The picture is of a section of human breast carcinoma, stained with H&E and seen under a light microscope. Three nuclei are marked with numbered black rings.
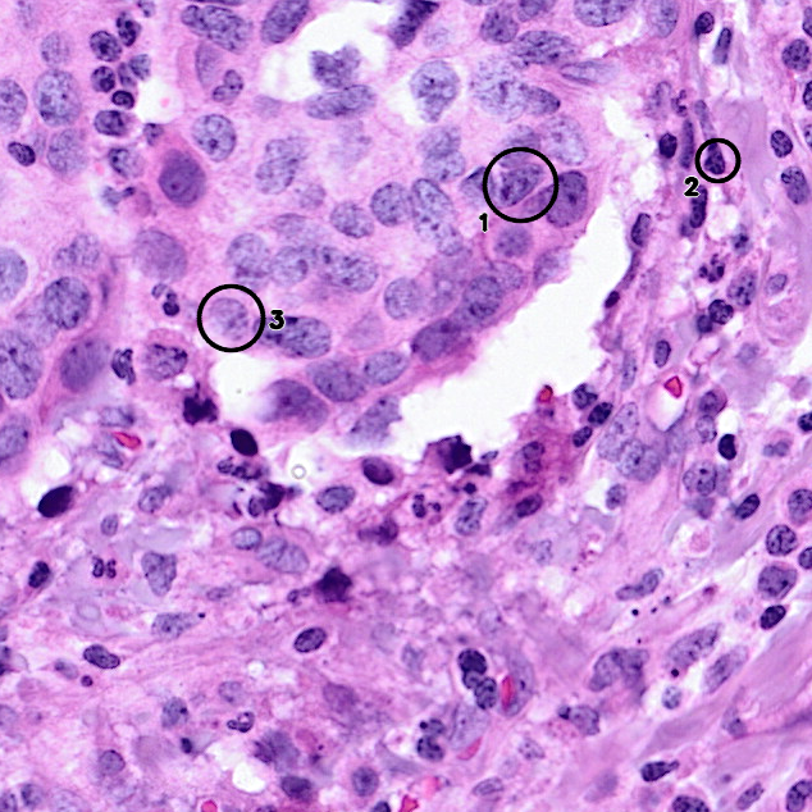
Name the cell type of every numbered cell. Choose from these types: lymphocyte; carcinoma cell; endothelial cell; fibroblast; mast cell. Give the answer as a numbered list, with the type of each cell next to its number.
1. carcinoma cell
2. lymphocyte
3. carcinoma cell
